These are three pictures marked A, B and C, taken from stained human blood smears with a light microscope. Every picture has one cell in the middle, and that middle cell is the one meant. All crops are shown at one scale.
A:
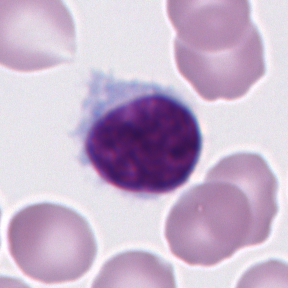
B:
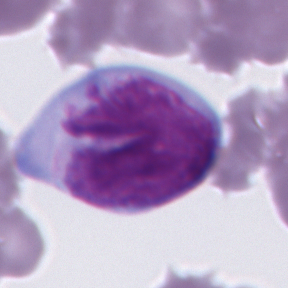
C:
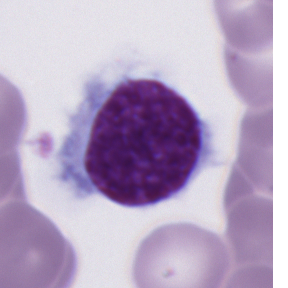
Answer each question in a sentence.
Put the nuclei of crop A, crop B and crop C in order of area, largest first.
Largest first: B, C, A.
